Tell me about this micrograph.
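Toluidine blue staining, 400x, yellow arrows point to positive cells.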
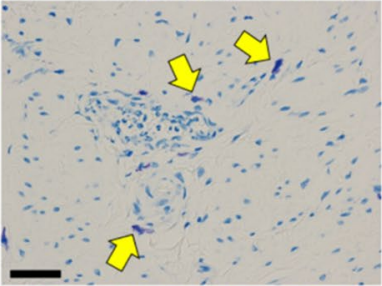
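Loose connective tissue with scattered spindle-shaped cells bearing pale blue nuclei in a pale matrix. A few single cells stain a deeper purple-blue, one of them lying beside a small vessel-like group of cells.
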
